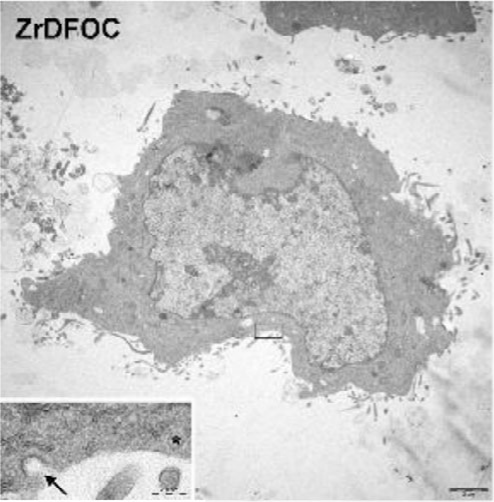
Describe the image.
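The nucleus has finely granular chromatin and the surrounding cytoplasm contains scattered organelles that look undamaged. Short projections stud the cell border.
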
